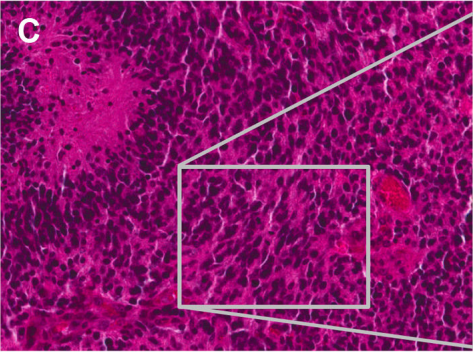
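This is a high grade glioma with a pseudopalisading necrosis at the upper left. A pale pink, cell-poor zone is rimmed by a dense band of dark, crowded nuclei lined up around it. Elsewhere the tumor cells are densely packed with elongated, dark nuclei running in streams, and a small pink vessel lies at the right edge.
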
